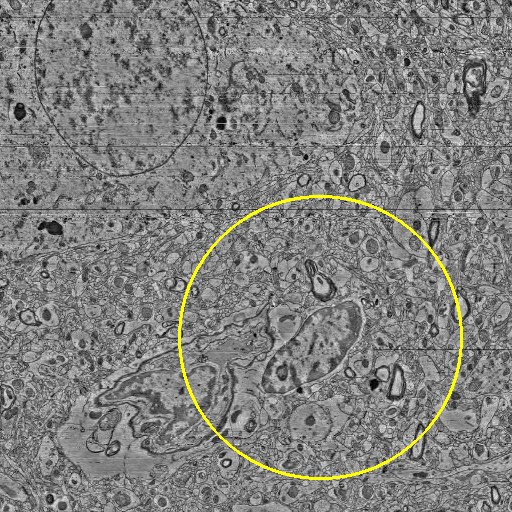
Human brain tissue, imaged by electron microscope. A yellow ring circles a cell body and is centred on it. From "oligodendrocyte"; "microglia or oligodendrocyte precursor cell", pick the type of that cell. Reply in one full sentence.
The cell body at the centre of the yellow ring belongs to a microglial cell or oligodendrocyte precursor cell.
